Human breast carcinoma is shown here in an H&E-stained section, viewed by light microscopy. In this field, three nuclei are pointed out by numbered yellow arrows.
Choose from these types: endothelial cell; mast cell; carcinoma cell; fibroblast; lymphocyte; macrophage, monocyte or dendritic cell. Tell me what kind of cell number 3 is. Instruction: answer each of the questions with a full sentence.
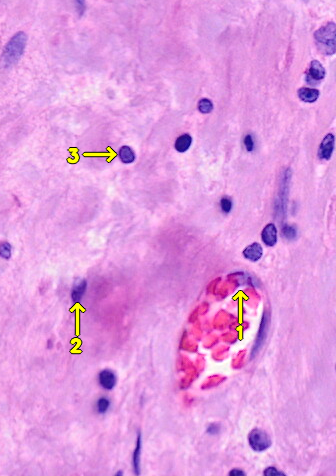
Regarding cell 3, this one is a lymphocyte.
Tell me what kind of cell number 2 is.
At number 2, the marked cell is a fibroblast.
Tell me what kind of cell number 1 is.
Among the marked nuclei, number 1 belongs to an endothelial cell.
